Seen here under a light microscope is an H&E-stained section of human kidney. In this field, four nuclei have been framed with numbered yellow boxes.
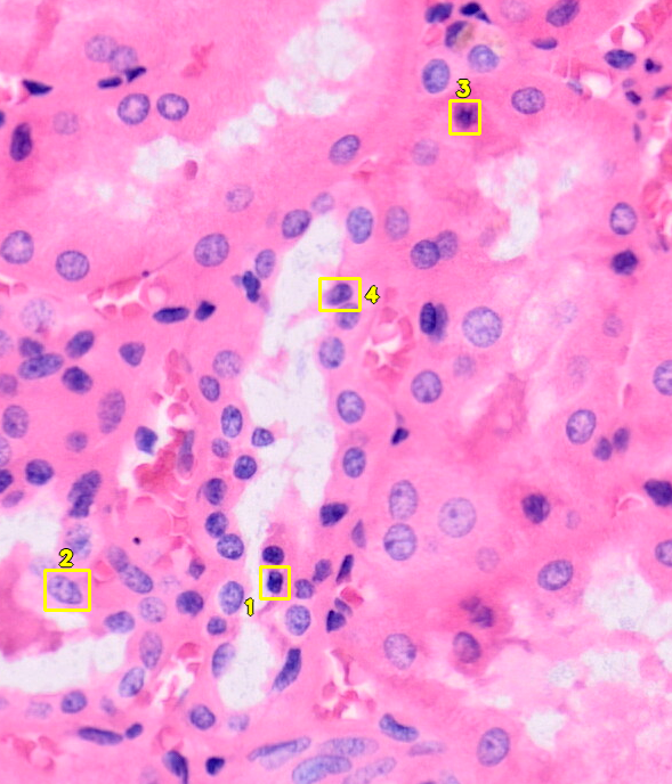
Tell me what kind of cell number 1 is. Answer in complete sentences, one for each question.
Regarding cell 1, this one is a collecting duct cell.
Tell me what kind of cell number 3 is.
The cell with the number 3 is a proximal tubule cell.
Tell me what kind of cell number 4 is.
The identity of cell 4 is that of a collecting duct cell.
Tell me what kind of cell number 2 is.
Cell 2 should be recorded as a collecting duct cell.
